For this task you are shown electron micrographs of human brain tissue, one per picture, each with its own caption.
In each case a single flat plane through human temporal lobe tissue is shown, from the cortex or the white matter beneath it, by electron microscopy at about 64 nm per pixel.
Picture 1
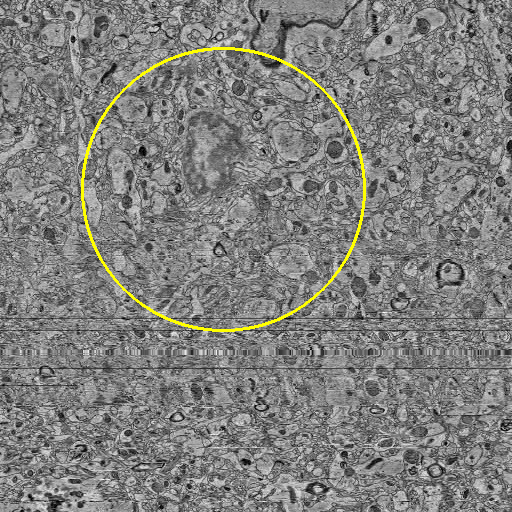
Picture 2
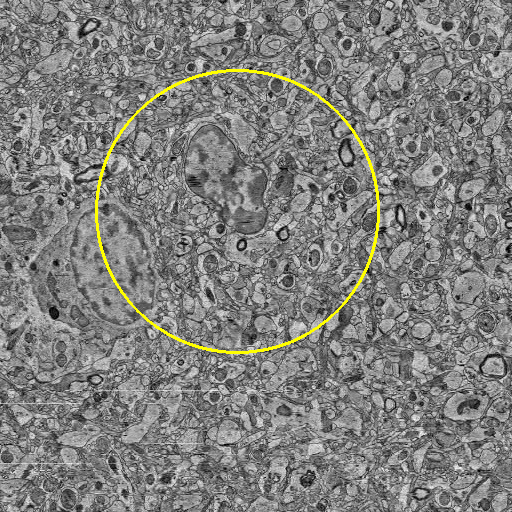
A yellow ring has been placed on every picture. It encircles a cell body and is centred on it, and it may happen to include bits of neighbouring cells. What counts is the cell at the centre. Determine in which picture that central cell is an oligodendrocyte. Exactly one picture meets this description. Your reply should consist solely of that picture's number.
1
